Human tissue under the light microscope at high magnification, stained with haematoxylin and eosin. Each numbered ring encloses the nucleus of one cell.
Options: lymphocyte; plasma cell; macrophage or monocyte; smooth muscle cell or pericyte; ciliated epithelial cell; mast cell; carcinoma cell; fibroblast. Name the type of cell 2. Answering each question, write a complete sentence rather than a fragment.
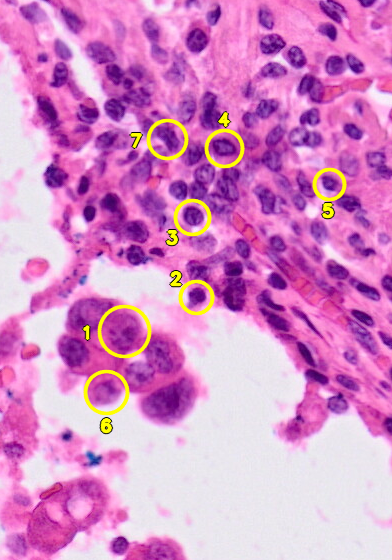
Cell 2 in the field is a lymphocyte.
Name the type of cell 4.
It is as a plasma cell that the cell numbered 4 is identified.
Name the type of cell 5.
Of the numbered cells, the one labelled 5 is a lymphocyte.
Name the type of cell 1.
Here, the cell given the number 1 is a carcinoma cell.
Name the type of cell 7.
Classified as a lymphocyte is the cell with the number 7.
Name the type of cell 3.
Cell number 3 in this section is a lymphocyte.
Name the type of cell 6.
The nucleus with number 6 is that of a carcinoma cell.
